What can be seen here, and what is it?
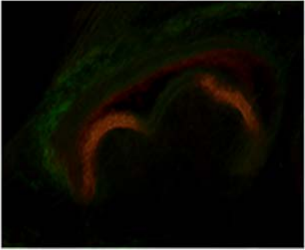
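Low-power view of a molar tooth germ whose epithelium is folded into a cusped outline. The enclosed mesenchyme of the papilla shows little green. Faint green fibres run along the outer left margin of the germ. Individual cells are not resolved.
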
